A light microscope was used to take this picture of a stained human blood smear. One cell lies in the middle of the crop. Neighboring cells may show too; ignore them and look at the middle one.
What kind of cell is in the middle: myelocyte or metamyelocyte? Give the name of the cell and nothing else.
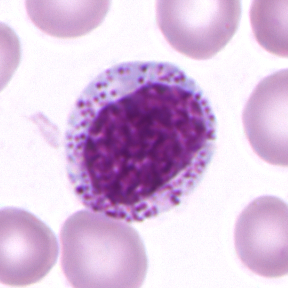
metamyelocyte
